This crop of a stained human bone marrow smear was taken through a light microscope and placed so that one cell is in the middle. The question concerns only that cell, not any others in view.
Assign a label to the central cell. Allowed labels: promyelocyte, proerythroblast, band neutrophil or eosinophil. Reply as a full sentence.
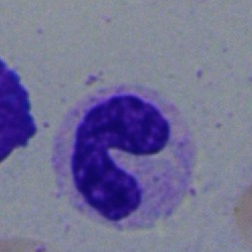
The cell under consideration, at the middle of the crop, is a band neutrophil.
